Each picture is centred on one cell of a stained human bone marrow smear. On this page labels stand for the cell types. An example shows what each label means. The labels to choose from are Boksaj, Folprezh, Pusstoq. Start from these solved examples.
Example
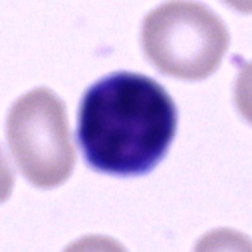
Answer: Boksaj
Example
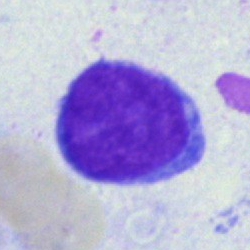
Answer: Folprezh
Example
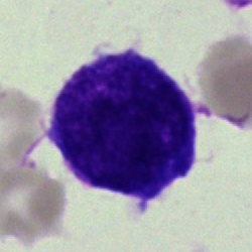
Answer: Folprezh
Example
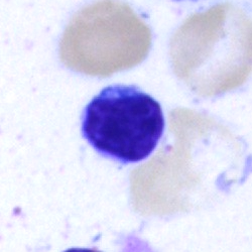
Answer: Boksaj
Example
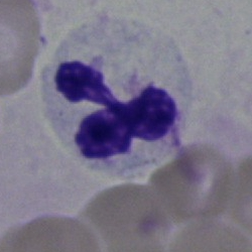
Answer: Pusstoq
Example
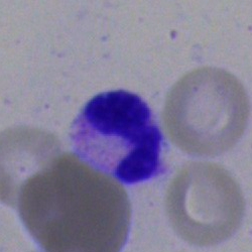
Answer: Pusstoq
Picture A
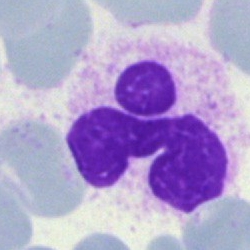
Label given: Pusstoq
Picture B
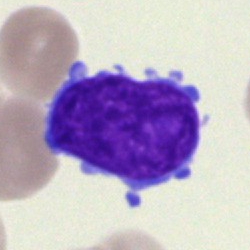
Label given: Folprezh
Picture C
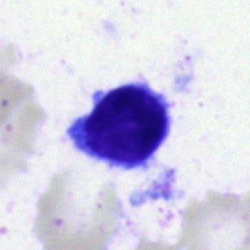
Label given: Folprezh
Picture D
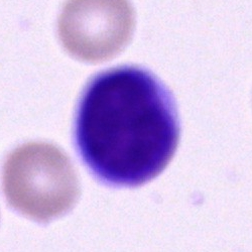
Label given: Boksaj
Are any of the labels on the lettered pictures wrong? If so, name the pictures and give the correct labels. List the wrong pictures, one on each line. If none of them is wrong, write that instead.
Wrong: C (Folprezh); correct: Boksaj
